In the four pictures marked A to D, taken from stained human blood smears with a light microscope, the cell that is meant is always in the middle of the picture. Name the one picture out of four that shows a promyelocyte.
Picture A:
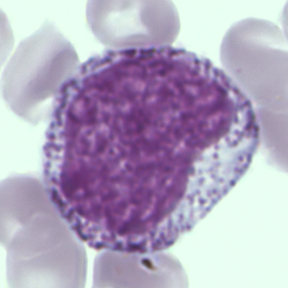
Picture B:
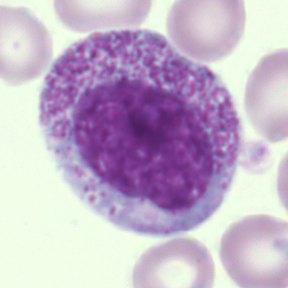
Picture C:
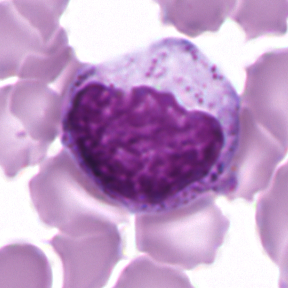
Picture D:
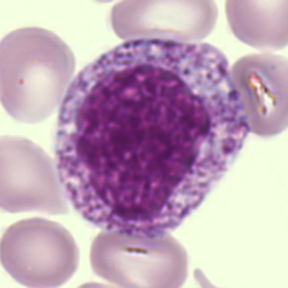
B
